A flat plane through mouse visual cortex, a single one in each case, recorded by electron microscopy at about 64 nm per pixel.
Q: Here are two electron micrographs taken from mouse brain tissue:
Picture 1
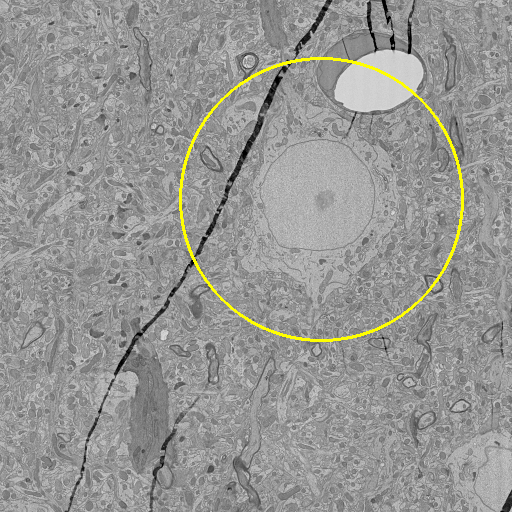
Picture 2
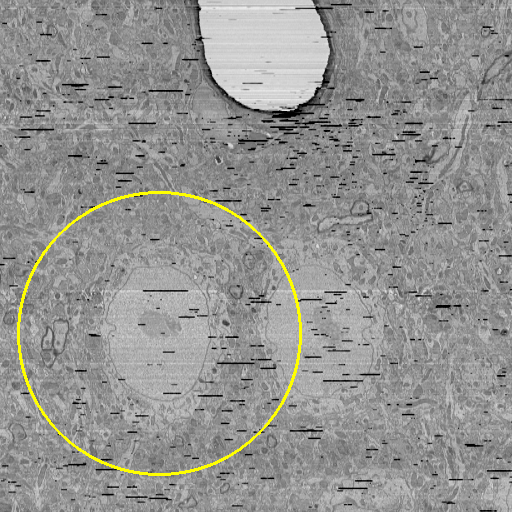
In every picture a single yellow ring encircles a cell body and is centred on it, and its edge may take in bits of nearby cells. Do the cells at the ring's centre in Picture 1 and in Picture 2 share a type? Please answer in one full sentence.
Yes, the cells at the ring's centre in Picture 1 and Picture 2 share a type.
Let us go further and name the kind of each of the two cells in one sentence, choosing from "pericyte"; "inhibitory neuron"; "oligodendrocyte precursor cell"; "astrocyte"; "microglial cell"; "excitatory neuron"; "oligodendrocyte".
Each of the two pictures has an excitatory neuron at the ring centre.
